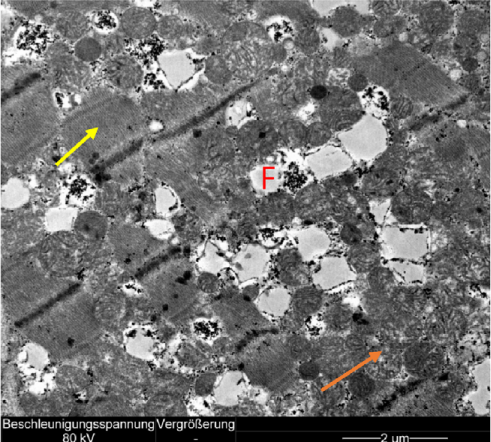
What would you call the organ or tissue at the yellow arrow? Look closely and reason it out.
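The yellow arrow points to a bundle of parallel filaments with regular cross-banding. Dark transverse lines repeat at regular intervals across the bundles. On this evidence: well‐structured muscle.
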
